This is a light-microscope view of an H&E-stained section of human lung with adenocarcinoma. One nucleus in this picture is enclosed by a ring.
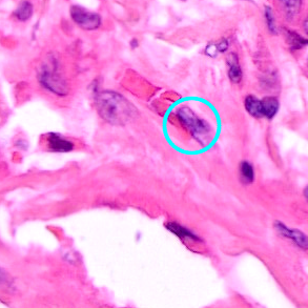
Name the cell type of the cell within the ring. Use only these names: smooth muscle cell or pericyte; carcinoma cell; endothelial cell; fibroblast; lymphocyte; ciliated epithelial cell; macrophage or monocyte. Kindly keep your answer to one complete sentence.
On this particular slide, the cell within the ring is an endothelial cell.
